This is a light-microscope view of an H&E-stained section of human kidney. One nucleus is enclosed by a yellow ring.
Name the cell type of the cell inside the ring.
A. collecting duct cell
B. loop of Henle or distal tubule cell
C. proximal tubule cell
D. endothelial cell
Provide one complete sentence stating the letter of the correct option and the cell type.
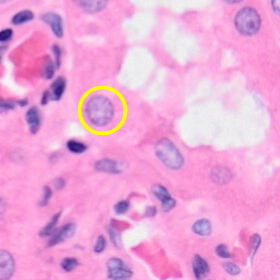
In this case the cell inside the ring is a proximal tubule cell, so option C is correct.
